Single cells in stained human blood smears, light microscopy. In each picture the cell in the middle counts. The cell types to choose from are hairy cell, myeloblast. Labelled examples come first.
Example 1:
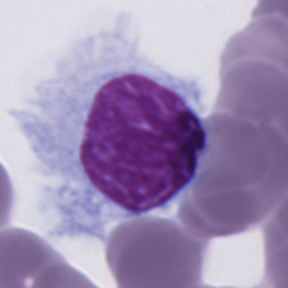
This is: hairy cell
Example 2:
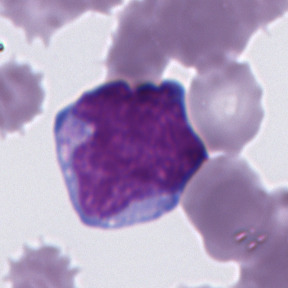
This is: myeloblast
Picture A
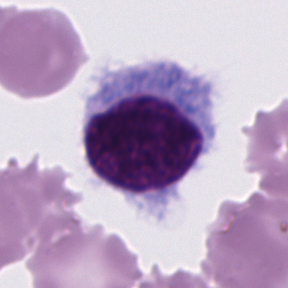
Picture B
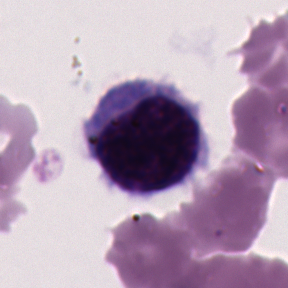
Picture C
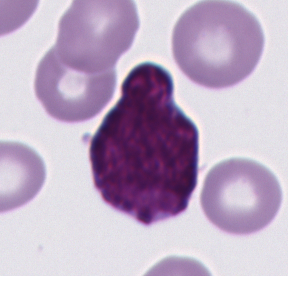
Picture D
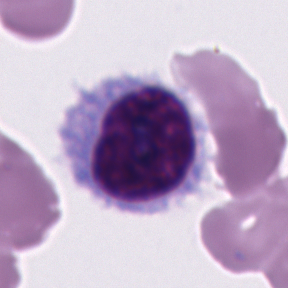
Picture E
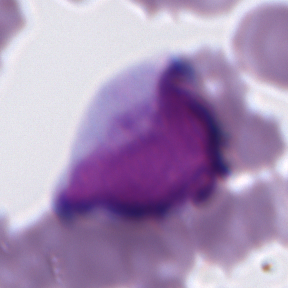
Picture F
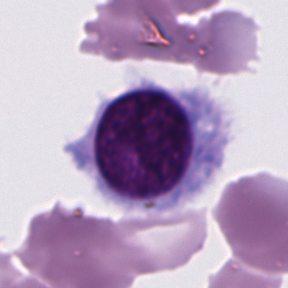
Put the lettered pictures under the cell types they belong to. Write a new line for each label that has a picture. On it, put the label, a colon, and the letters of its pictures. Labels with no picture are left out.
hairy cell: A, B, D, F
myeloblast: C, E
